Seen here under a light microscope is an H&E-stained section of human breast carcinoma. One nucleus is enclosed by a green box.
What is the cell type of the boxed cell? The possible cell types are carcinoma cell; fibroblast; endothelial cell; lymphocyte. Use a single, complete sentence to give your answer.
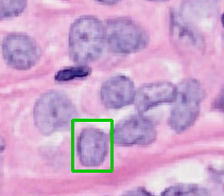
What the boxed cell represents is a carcinoma cell.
